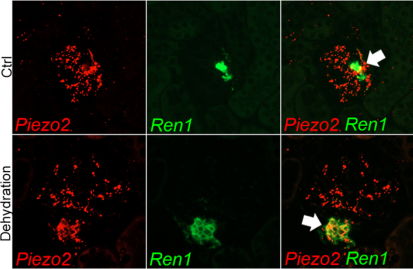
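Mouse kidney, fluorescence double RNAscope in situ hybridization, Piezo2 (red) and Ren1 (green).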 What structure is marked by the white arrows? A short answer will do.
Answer: Juxtaglomerular regions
